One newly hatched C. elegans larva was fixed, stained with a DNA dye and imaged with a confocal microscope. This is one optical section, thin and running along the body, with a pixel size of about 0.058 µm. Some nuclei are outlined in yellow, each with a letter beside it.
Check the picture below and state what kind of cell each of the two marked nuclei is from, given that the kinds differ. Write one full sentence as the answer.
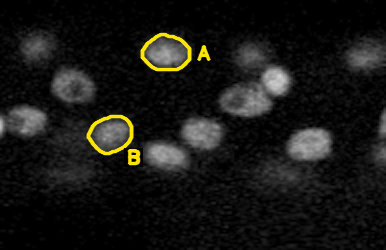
A is from a body wall muscle cell, and B is from a P cell (ventral epidermal blast cell).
